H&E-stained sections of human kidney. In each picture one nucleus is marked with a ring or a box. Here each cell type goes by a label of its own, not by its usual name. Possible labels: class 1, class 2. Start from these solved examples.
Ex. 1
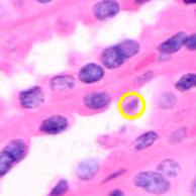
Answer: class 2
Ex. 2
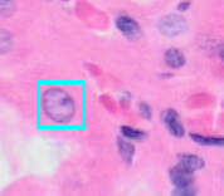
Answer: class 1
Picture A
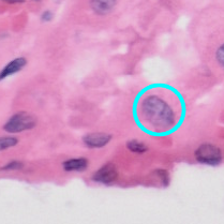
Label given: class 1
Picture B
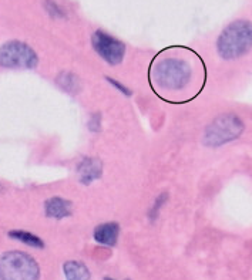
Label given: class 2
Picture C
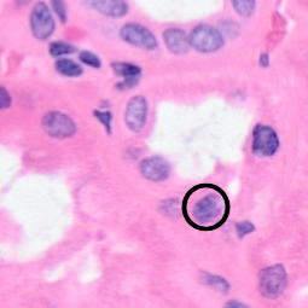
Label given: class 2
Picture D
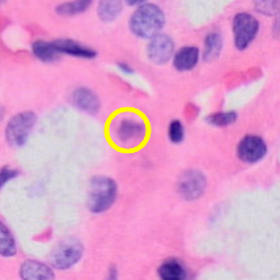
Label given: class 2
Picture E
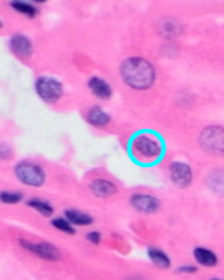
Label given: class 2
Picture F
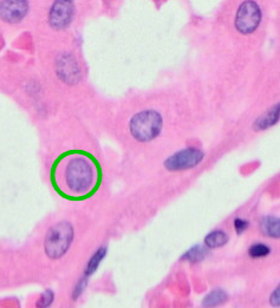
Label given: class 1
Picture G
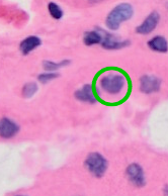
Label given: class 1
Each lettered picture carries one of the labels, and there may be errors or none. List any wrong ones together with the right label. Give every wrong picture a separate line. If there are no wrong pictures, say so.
G: change class 1 to class 2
